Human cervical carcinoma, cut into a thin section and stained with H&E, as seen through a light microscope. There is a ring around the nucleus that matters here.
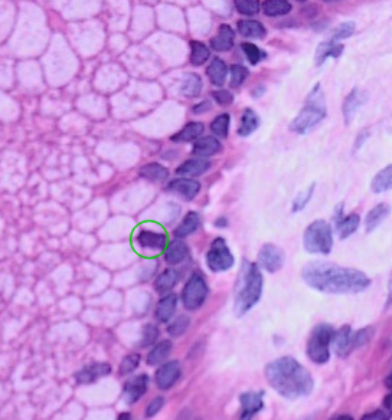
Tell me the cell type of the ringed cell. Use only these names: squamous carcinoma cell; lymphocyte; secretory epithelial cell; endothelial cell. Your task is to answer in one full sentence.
In short, the ringed cell on this section is a secretory epithelial cell.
